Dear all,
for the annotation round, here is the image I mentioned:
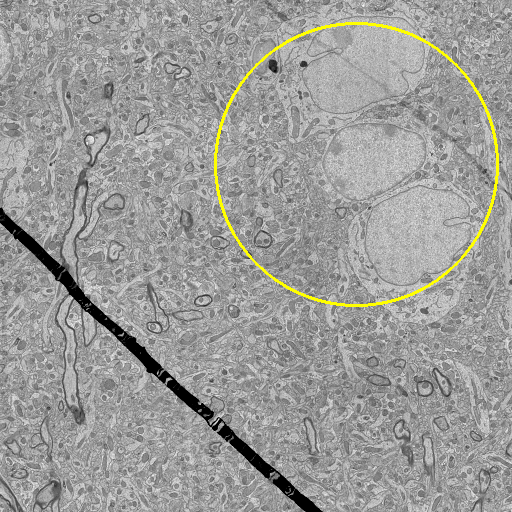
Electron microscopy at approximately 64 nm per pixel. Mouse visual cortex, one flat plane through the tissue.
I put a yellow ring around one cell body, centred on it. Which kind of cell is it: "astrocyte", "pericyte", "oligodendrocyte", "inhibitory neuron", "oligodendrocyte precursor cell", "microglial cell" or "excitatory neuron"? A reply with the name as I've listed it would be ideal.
astrocyte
